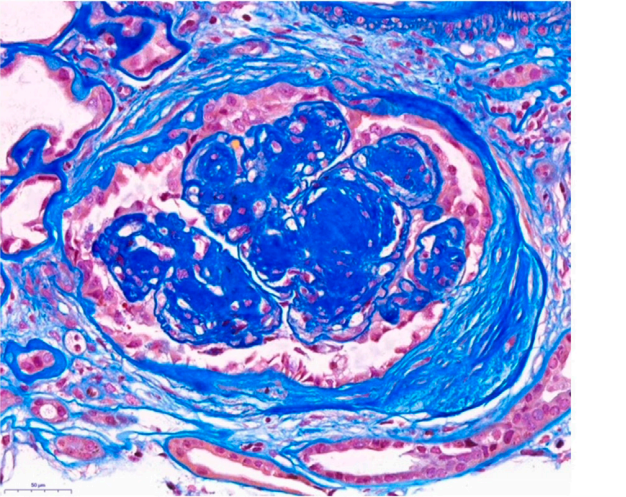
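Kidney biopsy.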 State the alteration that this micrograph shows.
nodular glomerulosclerosis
